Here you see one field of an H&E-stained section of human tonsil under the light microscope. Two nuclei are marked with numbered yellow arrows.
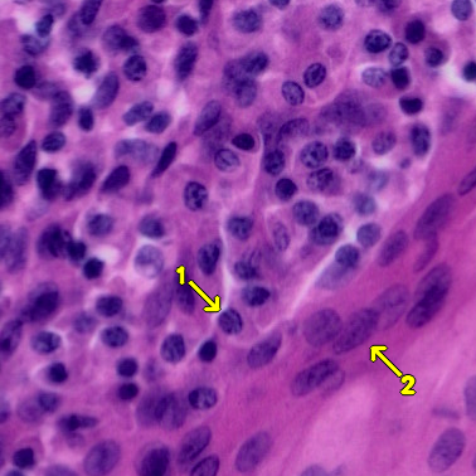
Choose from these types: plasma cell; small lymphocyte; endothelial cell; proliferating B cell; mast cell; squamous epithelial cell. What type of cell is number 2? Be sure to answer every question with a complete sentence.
Identified by the number 2, the cell is a squamous epithelial cell.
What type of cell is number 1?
To a plasma cell belongs the nucleus marked 1.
